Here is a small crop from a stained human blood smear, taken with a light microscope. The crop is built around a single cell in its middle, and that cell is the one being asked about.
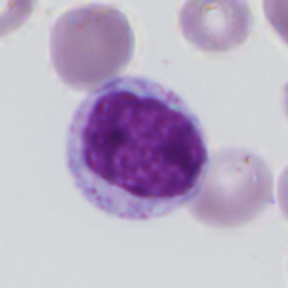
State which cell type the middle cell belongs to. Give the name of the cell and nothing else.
metamyelocyte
